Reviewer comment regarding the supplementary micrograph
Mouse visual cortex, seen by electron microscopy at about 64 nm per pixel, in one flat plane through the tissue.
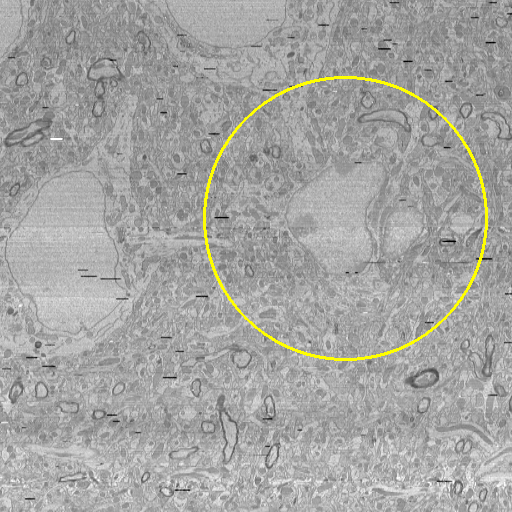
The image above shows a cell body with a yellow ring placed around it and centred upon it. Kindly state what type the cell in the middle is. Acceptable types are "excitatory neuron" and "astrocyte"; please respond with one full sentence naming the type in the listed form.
In the image above, the cell on which the yellow ring is centred is an astrocyte.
